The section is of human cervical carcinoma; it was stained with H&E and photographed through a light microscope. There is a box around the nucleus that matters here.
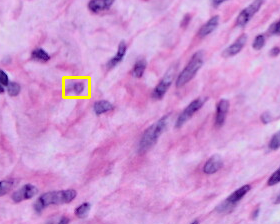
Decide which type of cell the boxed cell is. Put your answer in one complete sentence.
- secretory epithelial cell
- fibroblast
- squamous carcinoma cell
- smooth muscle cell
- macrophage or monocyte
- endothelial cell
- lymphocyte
Labelled by cell type, the boxed cell is a smooth muscle cell.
